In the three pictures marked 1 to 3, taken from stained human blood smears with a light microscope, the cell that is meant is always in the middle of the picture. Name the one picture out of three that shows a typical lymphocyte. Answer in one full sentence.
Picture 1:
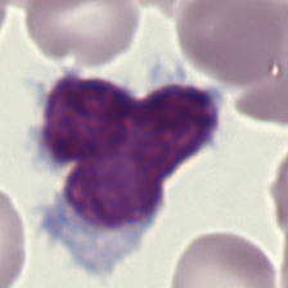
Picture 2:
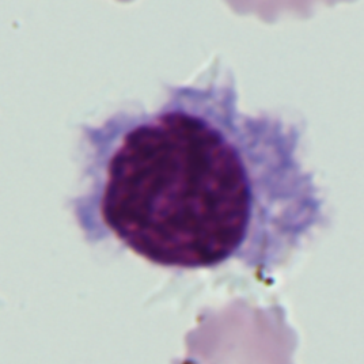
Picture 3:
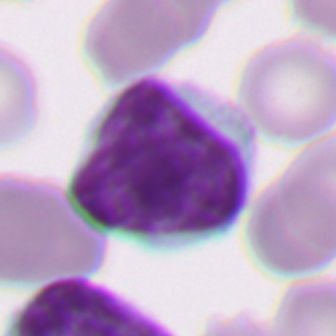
The typical lymphocyte is the one in picture 3.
